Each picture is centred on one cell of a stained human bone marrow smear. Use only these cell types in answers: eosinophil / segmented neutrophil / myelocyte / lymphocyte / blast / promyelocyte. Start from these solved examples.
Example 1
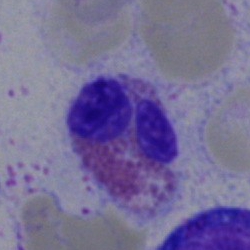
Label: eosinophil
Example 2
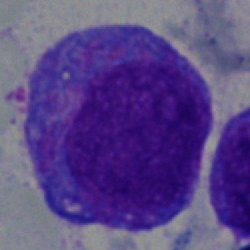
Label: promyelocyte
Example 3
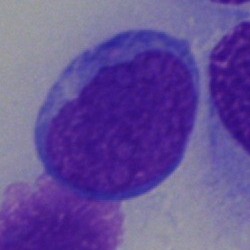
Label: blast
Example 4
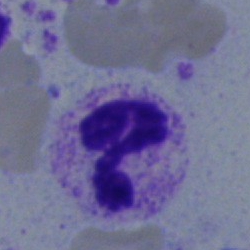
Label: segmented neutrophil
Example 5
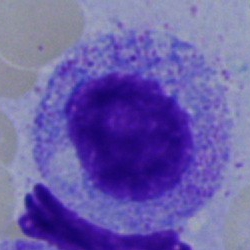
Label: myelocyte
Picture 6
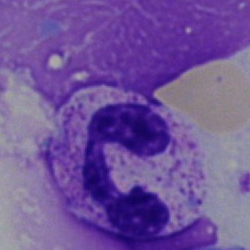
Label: segmented neutrophil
